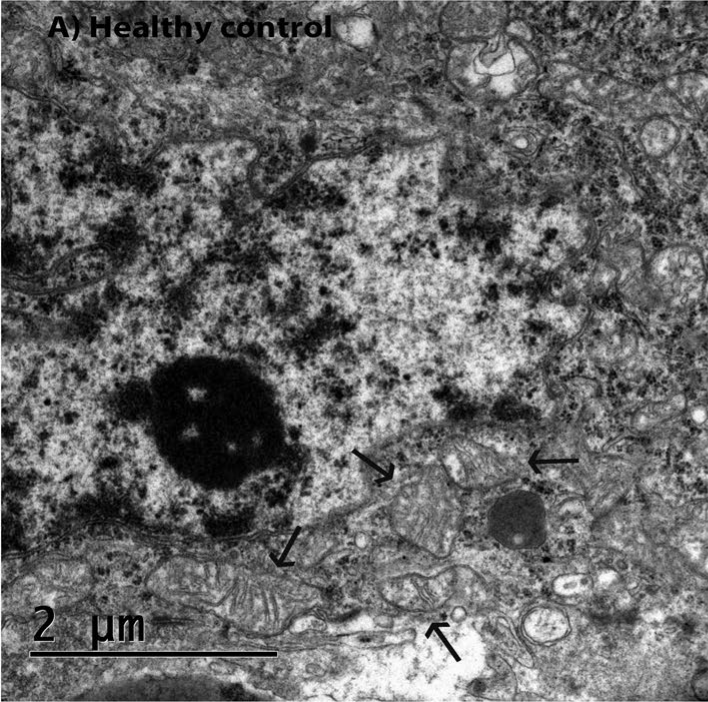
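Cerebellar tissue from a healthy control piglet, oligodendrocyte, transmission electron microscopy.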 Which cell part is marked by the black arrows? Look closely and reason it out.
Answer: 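Mitochondria. The arrows point at oval membrane-bound organelles in the cytoplasm beside the nucleus. These organelles contain closely stacked parallel inner membrane folds.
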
